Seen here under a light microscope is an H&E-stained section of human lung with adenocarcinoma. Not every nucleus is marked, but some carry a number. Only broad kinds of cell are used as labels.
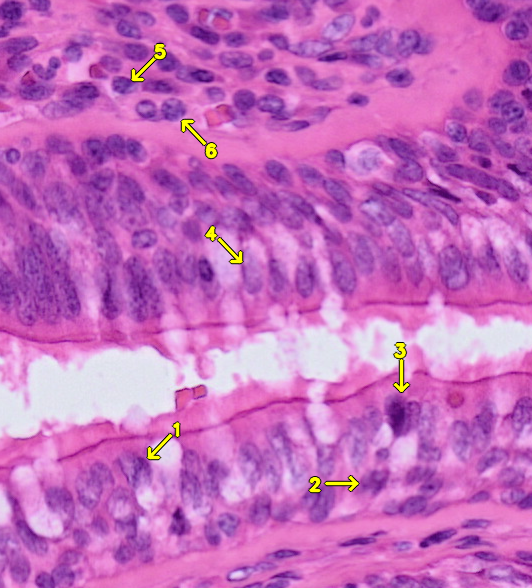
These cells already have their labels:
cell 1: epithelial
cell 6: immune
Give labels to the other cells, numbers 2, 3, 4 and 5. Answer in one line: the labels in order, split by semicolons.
epithelial; epithelial; epithelial; immune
